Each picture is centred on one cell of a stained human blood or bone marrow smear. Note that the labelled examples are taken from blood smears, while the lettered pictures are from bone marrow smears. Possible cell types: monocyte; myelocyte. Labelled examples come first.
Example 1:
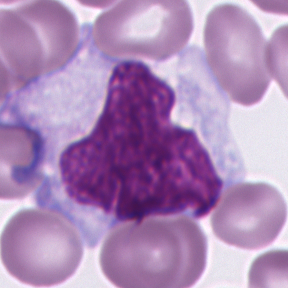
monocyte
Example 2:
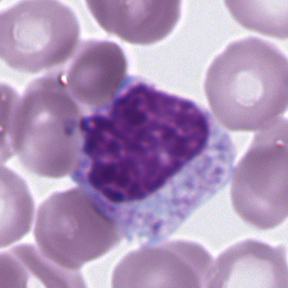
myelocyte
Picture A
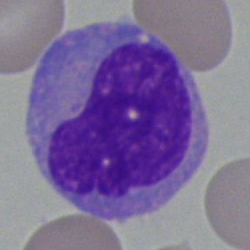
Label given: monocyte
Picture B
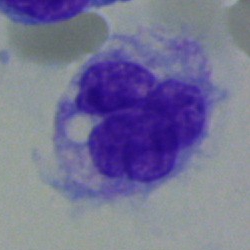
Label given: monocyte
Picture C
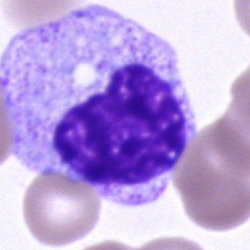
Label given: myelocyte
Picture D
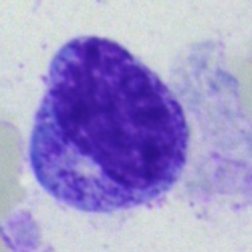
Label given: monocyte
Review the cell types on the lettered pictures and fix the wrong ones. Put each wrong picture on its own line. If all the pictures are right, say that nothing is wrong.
D is labelled monocyte; correct label: myelocyte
